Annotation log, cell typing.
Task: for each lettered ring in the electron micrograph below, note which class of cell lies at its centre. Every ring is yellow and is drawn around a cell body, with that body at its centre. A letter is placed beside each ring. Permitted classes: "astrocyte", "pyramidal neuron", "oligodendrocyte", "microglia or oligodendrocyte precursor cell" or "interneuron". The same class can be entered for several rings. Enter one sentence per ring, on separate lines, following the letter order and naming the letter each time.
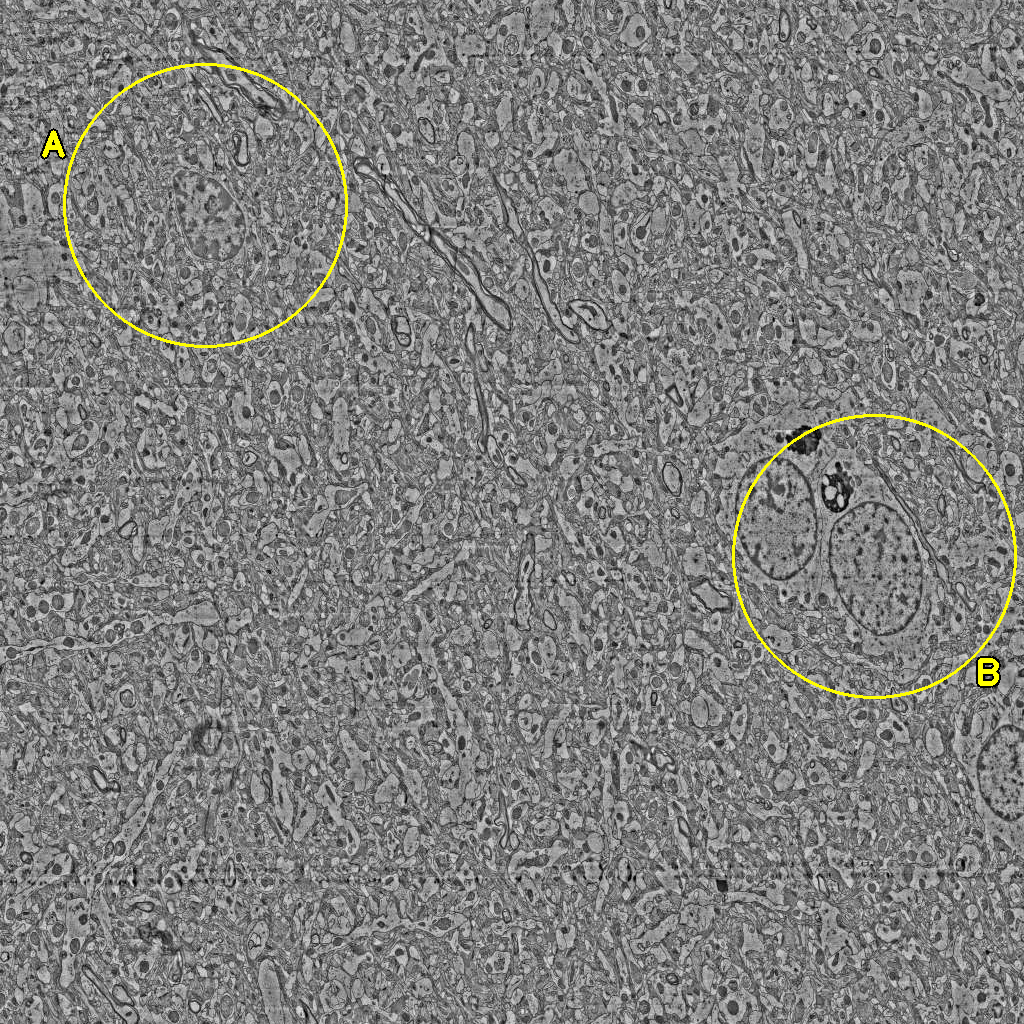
The cell at the centre of ring A is a microglial cell or oligodendrocyte precursor cell.
The cell at the centre of ring B is an astrocyte.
